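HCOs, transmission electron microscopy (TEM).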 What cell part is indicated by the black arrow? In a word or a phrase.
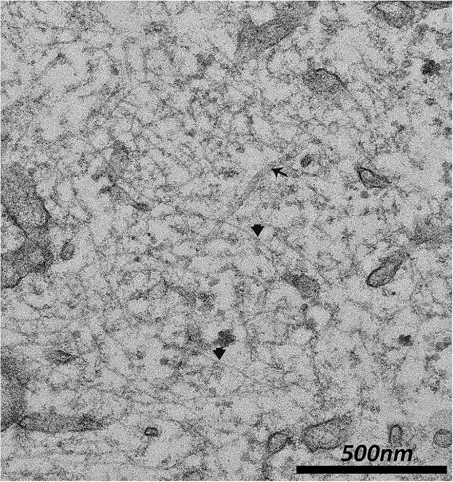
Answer: Microtubules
